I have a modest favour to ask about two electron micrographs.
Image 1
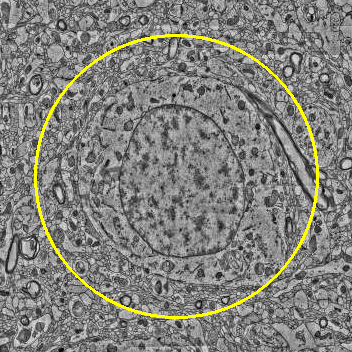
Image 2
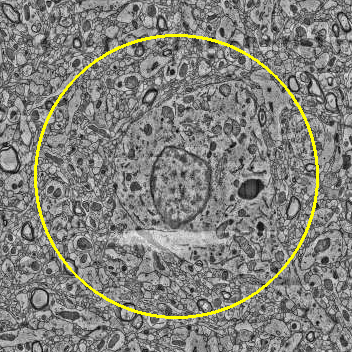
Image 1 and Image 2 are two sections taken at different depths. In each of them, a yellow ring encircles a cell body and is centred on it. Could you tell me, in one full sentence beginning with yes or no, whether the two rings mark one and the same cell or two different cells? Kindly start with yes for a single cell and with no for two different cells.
Yes, the same cell appears within both yellow rings.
